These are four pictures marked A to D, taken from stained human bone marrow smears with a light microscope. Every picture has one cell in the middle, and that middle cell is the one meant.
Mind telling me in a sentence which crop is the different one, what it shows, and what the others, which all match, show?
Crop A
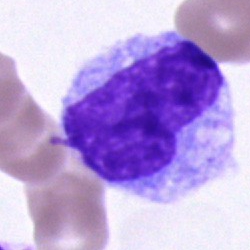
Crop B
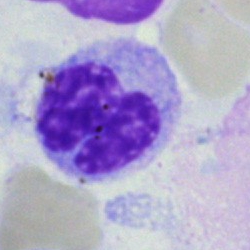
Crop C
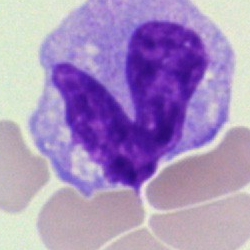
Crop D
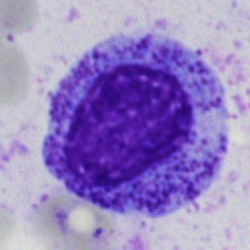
Crop D differs from the others in showing a promyelocyte; the rest all show monocytes.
